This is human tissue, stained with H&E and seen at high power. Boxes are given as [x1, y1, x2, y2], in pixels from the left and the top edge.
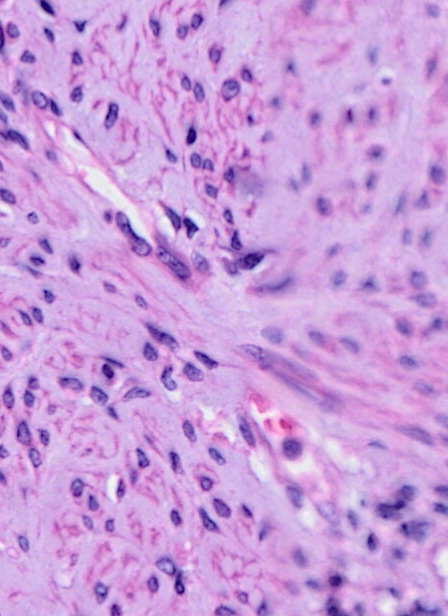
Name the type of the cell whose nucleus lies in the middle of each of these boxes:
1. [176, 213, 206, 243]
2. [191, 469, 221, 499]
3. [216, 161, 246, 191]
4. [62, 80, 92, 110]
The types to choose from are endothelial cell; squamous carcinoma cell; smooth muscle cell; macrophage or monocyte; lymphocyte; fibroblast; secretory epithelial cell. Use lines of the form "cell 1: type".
cell 1: lymphocyte
cell 2: smooth muscle cell
cell 3: smooth muscle cell
cell 4: smooth muscle cell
